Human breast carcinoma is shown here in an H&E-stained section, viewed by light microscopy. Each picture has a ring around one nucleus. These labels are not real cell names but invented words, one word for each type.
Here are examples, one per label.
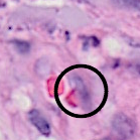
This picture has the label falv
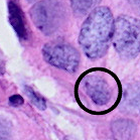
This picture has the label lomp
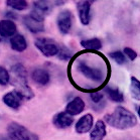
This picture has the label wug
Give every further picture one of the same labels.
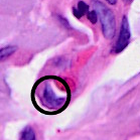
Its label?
falv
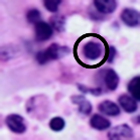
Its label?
wug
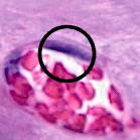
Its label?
falv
